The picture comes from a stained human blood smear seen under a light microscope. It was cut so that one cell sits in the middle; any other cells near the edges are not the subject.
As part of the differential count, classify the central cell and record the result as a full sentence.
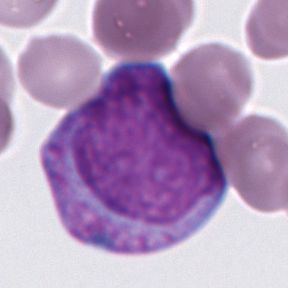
Here the centrally located cell is an atypical promyelocyte.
